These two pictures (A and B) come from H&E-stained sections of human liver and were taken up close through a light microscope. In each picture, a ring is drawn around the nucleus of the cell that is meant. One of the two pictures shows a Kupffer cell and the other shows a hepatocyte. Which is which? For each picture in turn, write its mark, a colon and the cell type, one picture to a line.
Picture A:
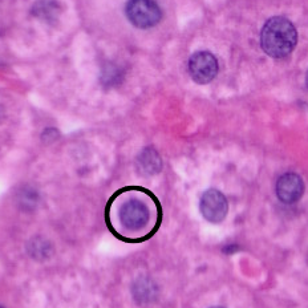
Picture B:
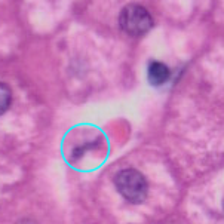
A: hepatocyte
B: Kupffer cell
